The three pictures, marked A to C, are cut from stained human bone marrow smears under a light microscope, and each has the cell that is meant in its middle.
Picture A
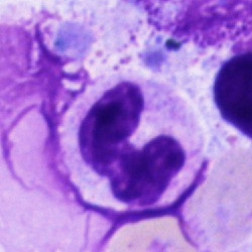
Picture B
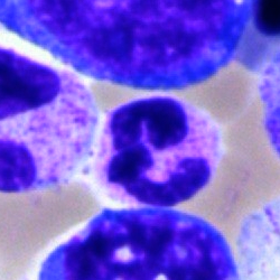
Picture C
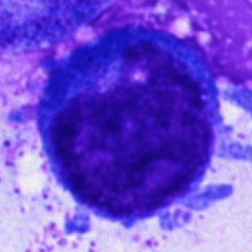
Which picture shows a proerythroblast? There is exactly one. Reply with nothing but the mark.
C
